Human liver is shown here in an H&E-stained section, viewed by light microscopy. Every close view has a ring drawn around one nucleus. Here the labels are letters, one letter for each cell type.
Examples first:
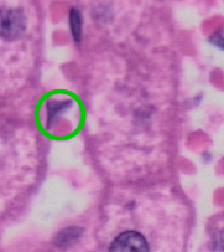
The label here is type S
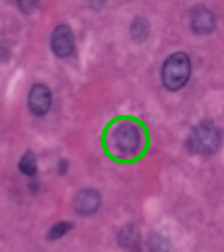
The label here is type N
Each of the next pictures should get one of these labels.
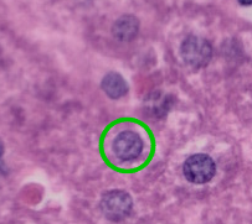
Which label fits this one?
type N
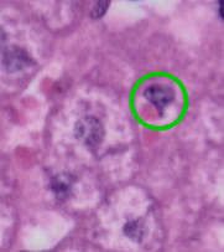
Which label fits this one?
type S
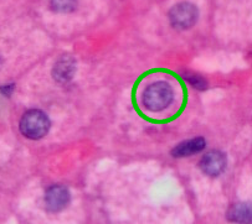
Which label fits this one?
type N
